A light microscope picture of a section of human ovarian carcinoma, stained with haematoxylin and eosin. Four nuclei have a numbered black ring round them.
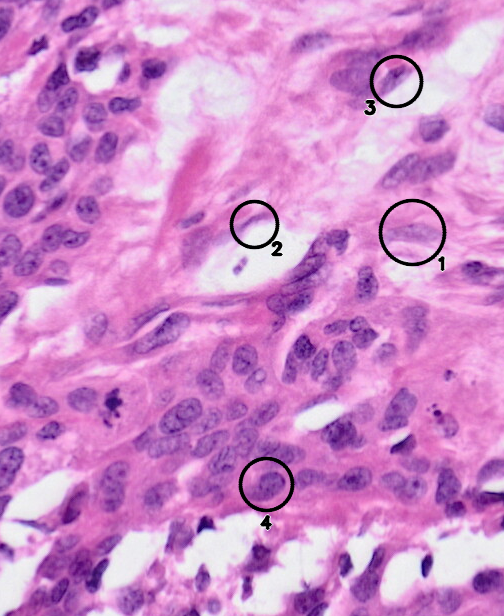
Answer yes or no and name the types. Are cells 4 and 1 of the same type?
No, unlike cell 1, which is a fibroblast, cell 4 is a carcinoma cell.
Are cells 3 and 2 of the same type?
Yes, cells 3 and 2 are, both of them, fibroblasts.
